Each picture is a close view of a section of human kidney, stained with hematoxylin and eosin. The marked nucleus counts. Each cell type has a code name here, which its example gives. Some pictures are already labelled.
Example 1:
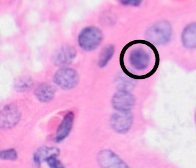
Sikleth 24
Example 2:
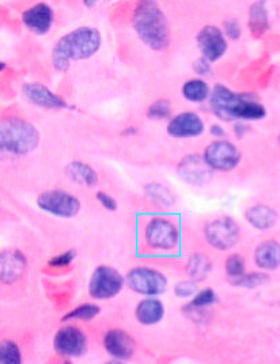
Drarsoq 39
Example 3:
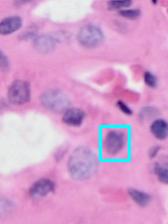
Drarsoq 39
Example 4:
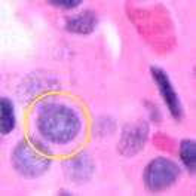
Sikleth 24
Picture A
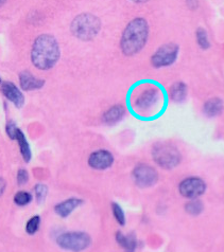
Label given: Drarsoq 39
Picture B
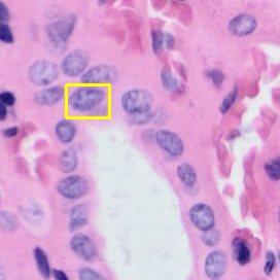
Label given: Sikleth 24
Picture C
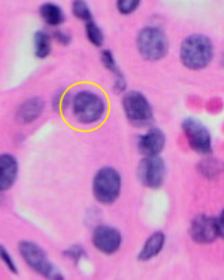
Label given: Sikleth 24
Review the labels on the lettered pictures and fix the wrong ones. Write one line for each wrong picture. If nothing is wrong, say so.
No label is wrong.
